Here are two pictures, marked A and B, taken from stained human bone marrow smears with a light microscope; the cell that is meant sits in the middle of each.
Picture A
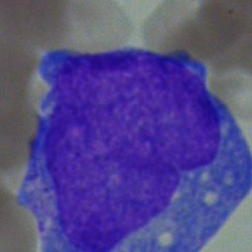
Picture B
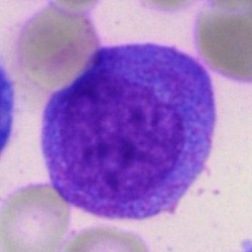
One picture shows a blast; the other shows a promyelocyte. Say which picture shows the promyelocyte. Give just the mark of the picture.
B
